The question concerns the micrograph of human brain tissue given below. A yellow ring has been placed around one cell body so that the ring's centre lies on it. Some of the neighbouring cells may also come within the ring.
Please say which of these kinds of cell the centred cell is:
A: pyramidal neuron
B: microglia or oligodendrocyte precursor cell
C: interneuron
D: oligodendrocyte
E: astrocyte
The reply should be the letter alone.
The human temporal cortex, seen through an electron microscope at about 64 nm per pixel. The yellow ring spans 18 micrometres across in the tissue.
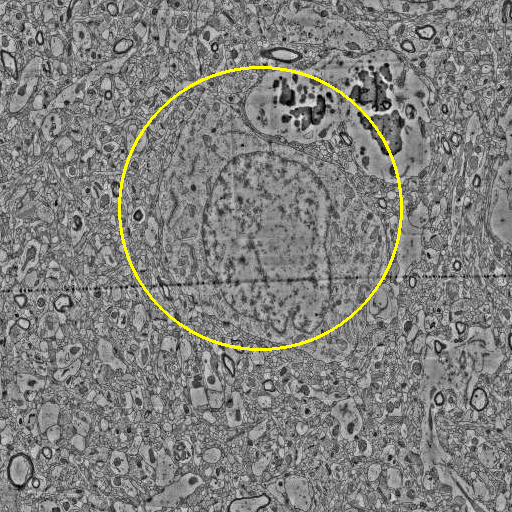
C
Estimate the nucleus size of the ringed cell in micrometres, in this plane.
The nucleus has a long axis of about 12 micrometres and a short axis of about 9 micrometres in this plane.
